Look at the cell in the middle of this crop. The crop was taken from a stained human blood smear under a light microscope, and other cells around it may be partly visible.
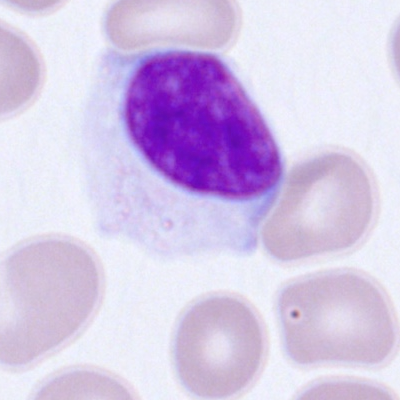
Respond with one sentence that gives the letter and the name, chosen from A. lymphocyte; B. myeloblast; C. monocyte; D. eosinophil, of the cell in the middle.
The correct response is option A, naming the cell in the middle as a lymphocyte.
